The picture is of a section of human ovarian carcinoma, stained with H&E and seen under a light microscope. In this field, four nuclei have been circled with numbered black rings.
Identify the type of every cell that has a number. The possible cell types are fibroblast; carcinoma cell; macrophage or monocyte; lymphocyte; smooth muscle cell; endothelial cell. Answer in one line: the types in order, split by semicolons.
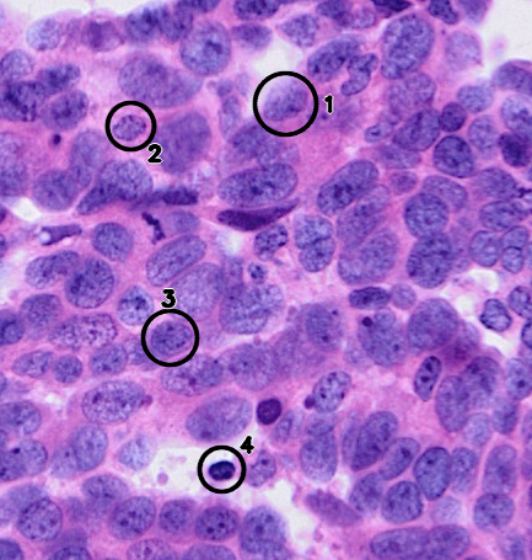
carcinoma cell; macrophage or monocyte; carcinoma cell; lymphocyte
